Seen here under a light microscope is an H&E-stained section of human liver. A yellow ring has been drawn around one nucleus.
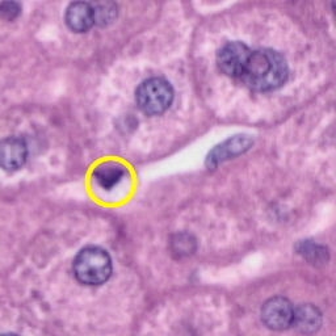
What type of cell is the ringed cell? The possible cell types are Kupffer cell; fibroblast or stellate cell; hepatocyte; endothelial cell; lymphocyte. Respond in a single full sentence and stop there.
In the tissue at hand, the ringed cell is an endothelial cell.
